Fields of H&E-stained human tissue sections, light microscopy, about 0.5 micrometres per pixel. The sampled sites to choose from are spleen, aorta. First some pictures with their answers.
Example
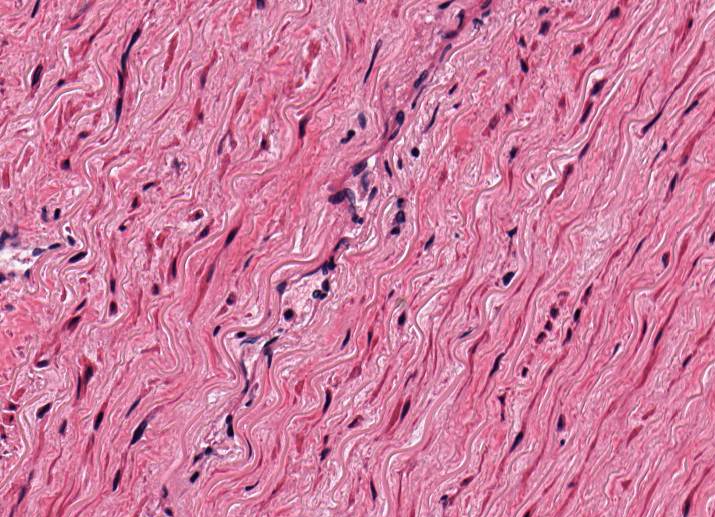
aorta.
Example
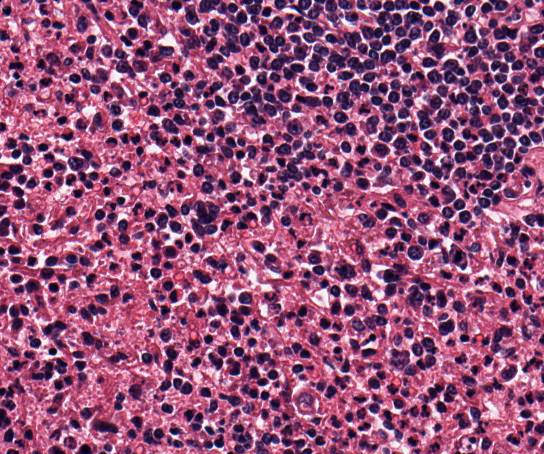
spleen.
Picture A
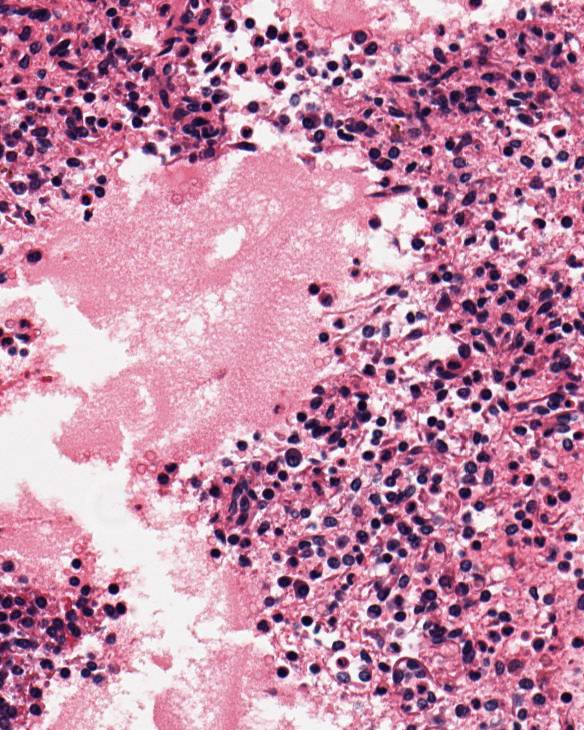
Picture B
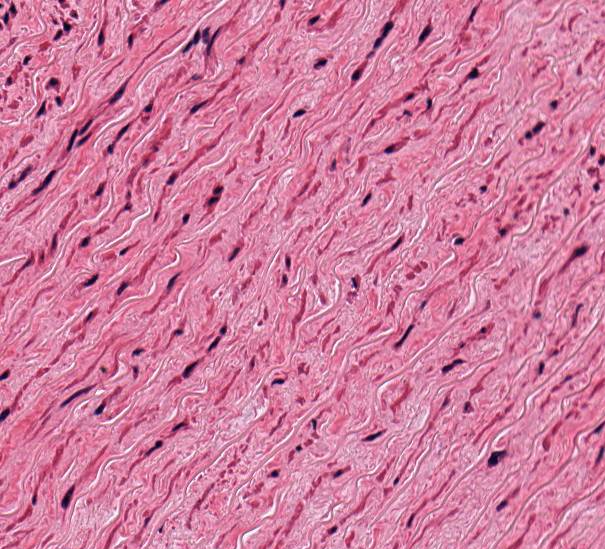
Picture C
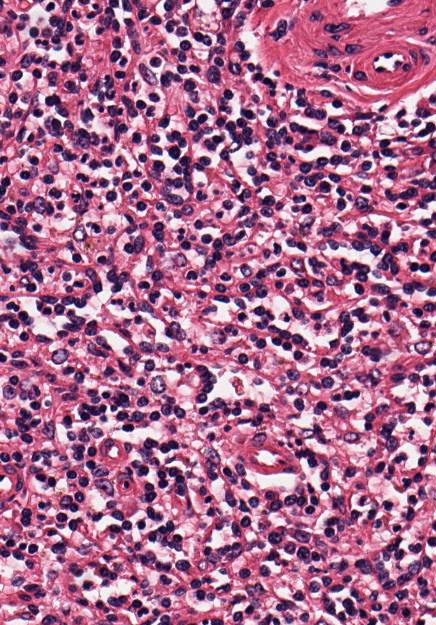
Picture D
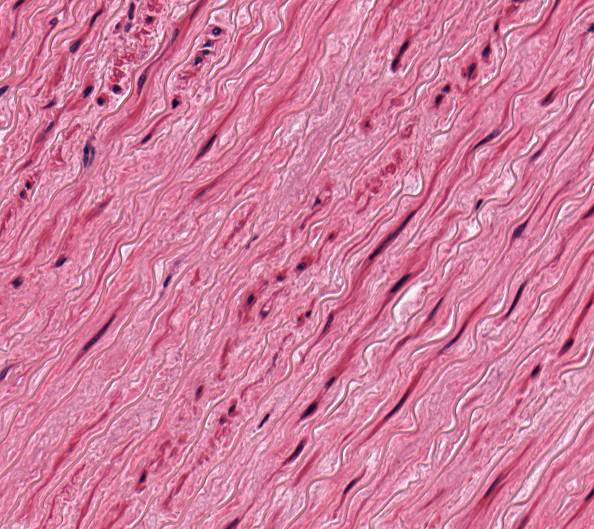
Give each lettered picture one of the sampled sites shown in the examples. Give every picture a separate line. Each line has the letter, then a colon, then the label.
A: spleen.
B: aorta.
C: spleen.
D: aorta.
